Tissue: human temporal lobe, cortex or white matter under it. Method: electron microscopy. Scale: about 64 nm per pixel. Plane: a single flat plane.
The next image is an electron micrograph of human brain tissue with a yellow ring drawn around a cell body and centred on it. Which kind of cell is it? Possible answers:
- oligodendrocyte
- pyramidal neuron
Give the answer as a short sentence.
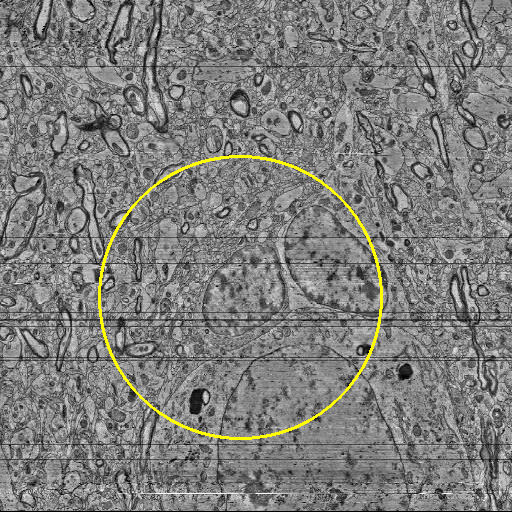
In the ring's centre is an oligodendrocyte.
